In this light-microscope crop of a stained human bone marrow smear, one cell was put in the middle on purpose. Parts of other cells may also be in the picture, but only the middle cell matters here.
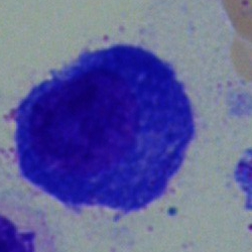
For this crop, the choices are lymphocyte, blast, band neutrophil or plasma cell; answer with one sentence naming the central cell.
In this crop, the cell at the very middle is a plasma cell.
